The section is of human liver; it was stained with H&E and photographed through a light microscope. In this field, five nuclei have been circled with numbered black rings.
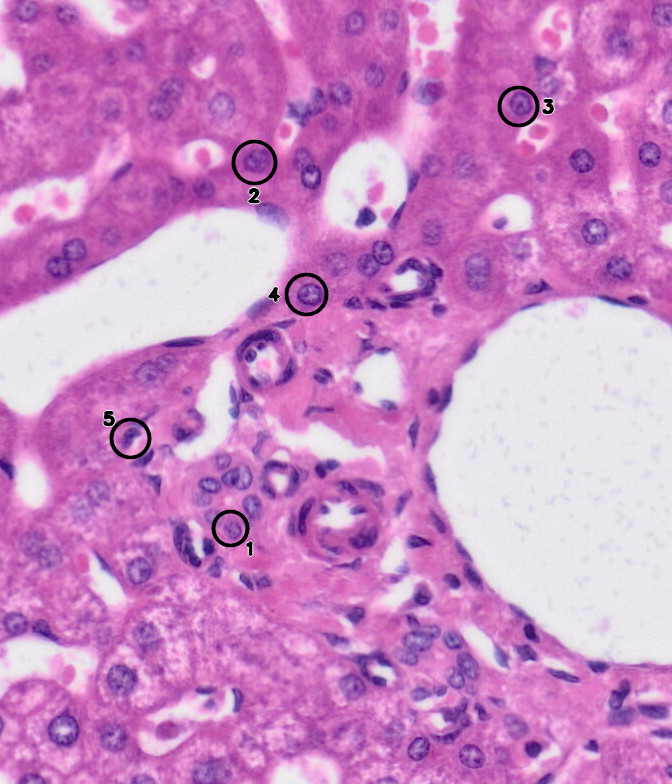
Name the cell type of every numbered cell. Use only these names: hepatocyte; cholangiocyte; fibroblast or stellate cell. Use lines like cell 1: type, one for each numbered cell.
cell 1: cholangiocyte
cell 2: hepatocyte
cell 3: hepatocyte
cell 4: hepatocyte
cell 5: fibroblast or stellate cell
